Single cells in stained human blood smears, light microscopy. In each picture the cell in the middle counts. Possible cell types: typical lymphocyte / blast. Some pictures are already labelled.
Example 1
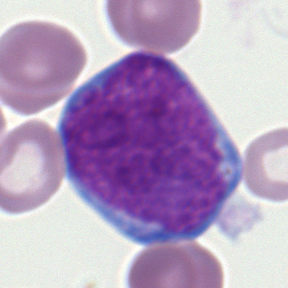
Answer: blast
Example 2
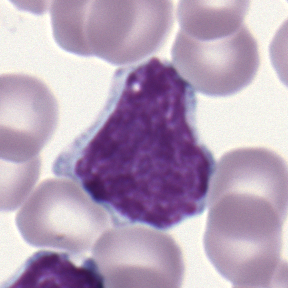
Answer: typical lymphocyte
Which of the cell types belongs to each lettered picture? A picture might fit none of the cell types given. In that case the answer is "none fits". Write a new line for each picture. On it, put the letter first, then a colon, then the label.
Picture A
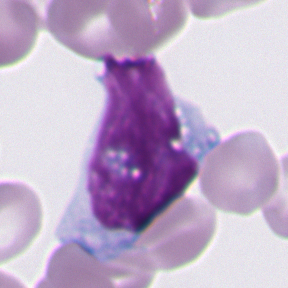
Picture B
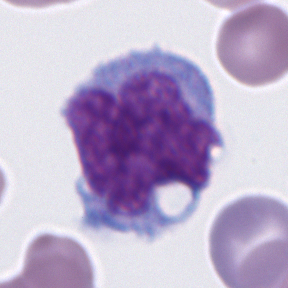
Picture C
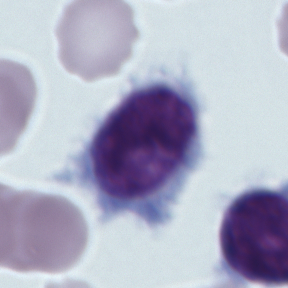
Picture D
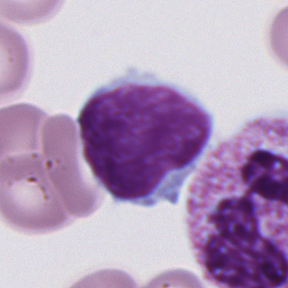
A: typical lymphocyte
B: blast
C: none fits
D: typical lymphocyte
